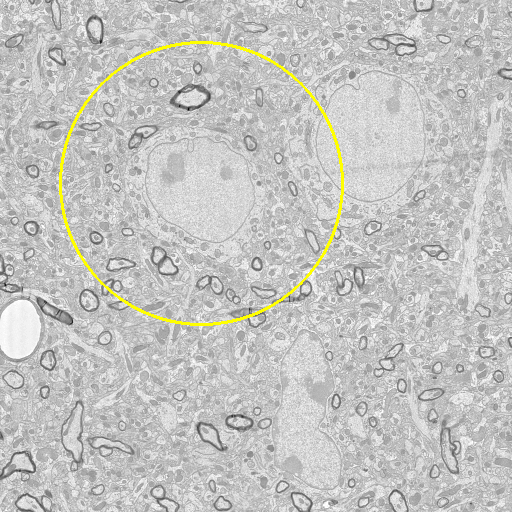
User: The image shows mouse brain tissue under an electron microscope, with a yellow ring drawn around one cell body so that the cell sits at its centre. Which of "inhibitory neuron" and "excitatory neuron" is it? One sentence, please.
At the centre of the ring sits an excitatory neuron.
